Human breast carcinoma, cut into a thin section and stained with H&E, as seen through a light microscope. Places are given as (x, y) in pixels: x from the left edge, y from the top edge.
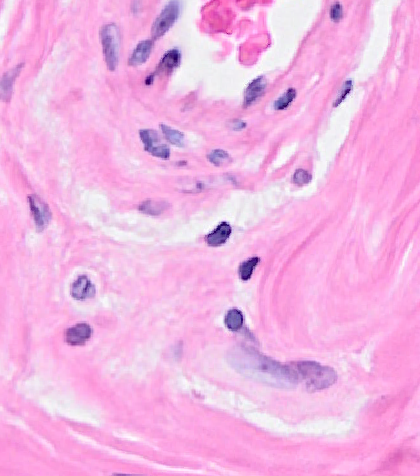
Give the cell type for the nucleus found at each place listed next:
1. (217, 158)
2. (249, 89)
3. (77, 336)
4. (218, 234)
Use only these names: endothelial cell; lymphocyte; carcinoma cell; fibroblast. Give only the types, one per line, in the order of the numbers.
endothelial cell
endothelial cell
lymphocyte
lymphocyte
